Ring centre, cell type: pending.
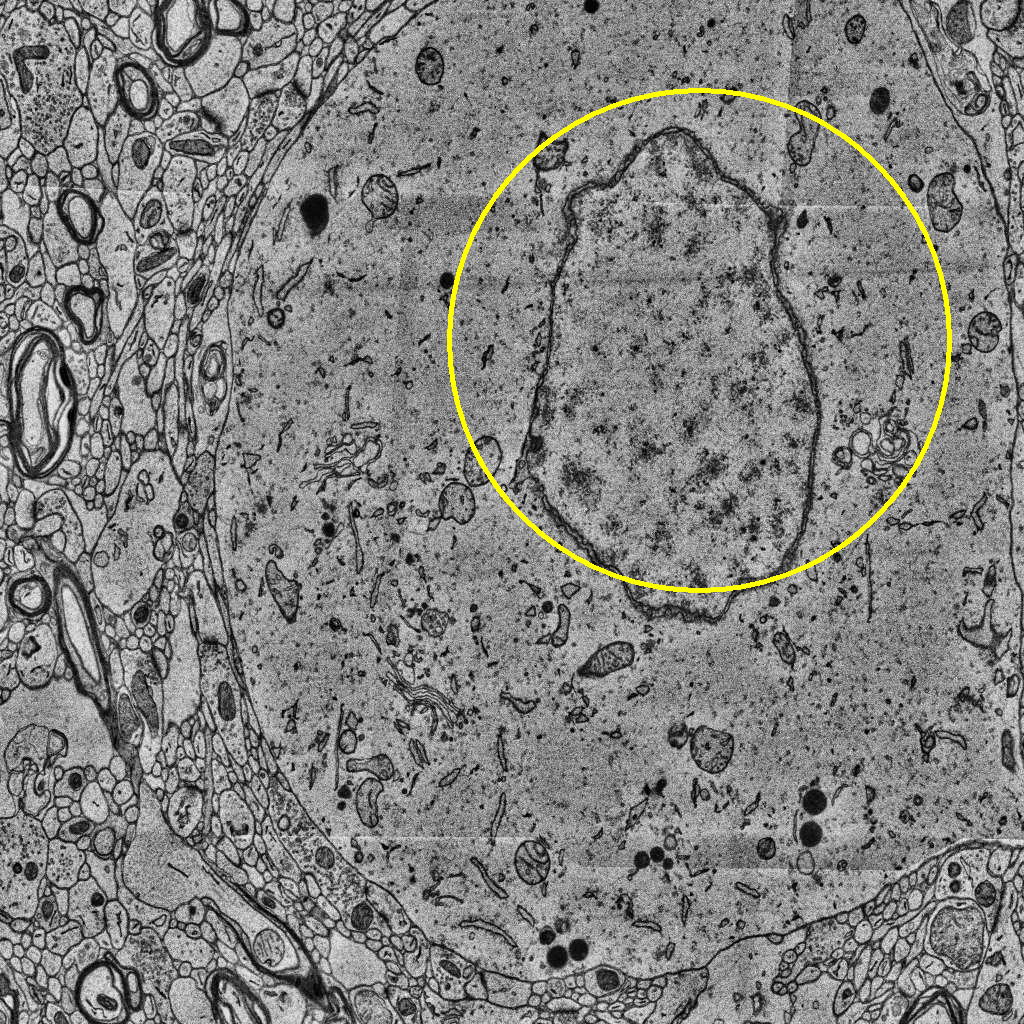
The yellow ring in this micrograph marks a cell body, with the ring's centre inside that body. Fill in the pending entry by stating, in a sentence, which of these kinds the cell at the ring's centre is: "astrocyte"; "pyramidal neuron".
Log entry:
The cell at the ring's centre is recorded as a pyramidal neuron.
